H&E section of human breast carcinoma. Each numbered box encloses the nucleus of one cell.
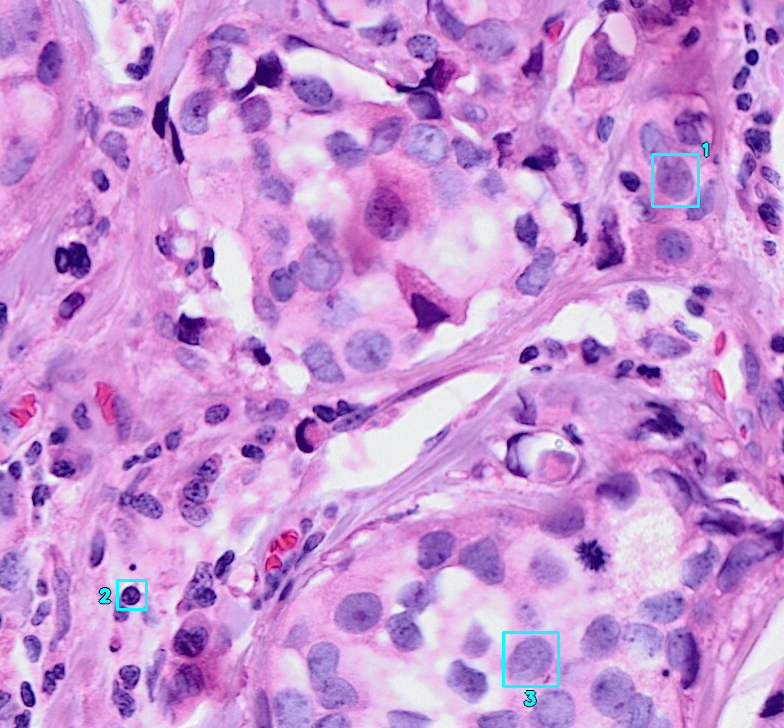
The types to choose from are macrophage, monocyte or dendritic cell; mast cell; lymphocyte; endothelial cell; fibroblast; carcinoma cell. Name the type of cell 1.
carcinoma cell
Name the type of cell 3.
carcinoma cell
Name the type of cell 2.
lymphocyte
